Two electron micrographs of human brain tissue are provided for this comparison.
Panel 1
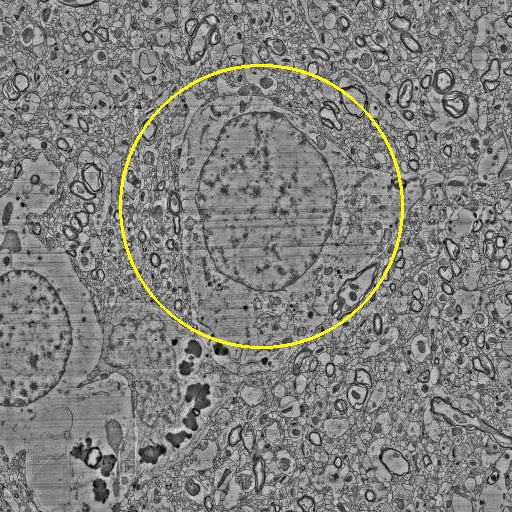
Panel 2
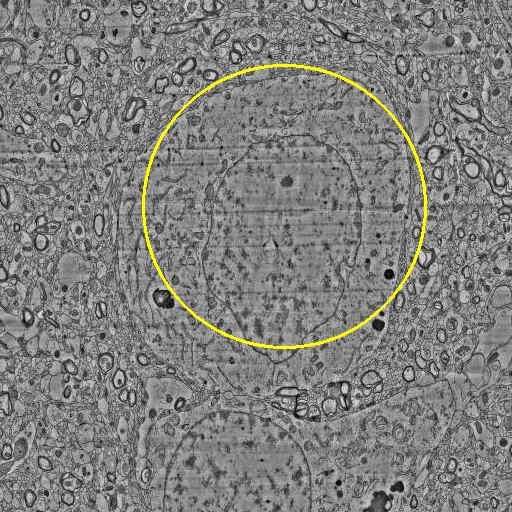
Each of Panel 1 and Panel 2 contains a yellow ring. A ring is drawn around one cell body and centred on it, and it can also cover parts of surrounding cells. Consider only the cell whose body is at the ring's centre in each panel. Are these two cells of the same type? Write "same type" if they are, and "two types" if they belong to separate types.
same type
